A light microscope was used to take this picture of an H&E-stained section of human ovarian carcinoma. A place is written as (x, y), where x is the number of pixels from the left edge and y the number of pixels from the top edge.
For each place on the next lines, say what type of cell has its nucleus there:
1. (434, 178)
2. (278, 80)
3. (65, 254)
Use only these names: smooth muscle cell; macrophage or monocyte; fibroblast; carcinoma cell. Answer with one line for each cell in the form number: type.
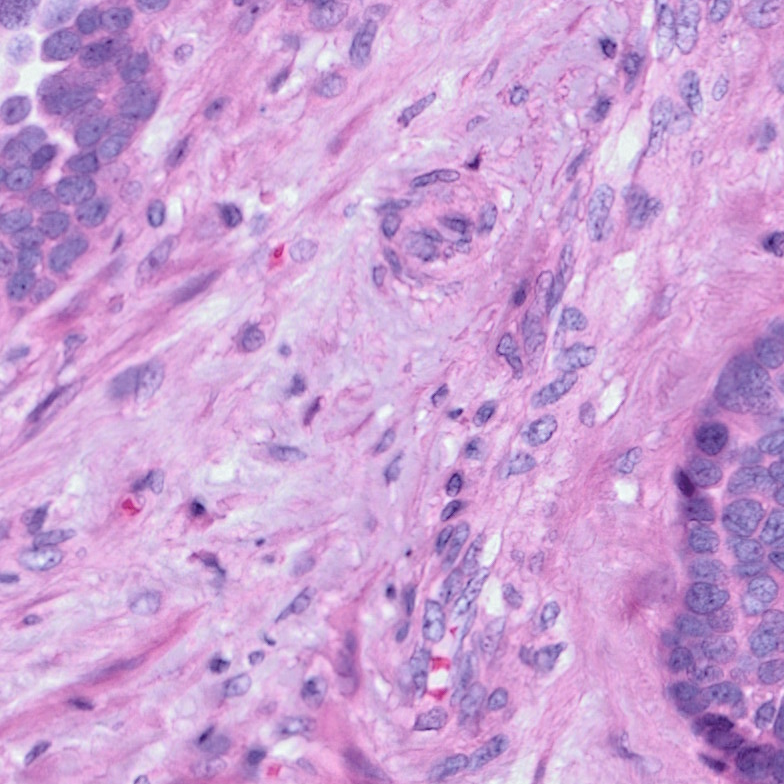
1: fibroblast
2: fibroblast
3: carcinoma cell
